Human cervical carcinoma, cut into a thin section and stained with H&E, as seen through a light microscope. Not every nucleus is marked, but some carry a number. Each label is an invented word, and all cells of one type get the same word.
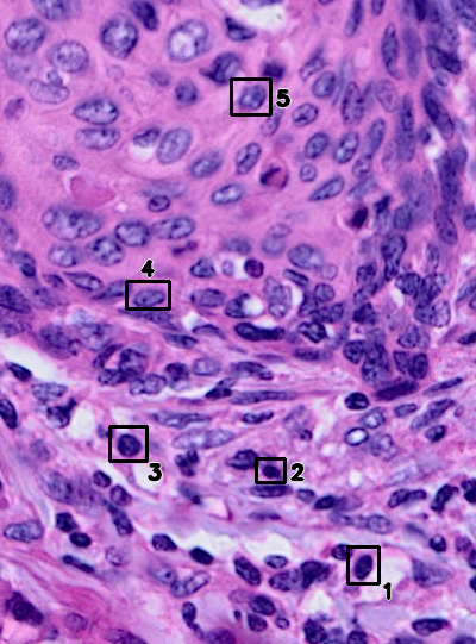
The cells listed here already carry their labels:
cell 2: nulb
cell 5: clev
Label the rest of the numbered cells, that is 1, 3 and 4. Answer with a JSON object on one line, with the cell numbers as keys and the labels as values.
{"1": "nulb", "3": "nulb", "4": "clev"}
